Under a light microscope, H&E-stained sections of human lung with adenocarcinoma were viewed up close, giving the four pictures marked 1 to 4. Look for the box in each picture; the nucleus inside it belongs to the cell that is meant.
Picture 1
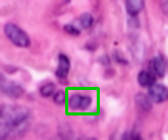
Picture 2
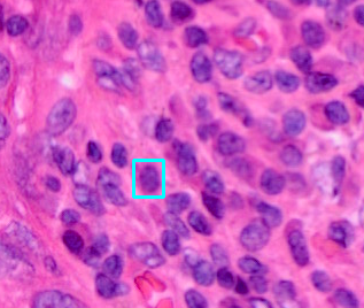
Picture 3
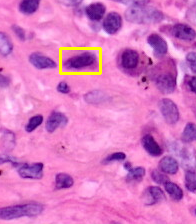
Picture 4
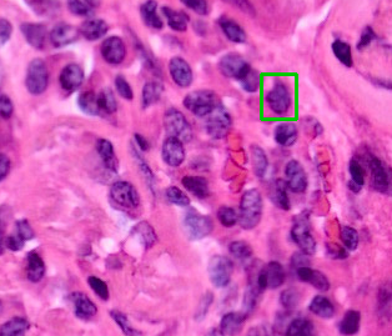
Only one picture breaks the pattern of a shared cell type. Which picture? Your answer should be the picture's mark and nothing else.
1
